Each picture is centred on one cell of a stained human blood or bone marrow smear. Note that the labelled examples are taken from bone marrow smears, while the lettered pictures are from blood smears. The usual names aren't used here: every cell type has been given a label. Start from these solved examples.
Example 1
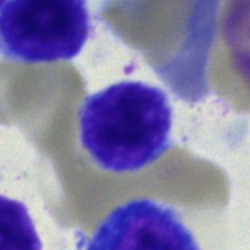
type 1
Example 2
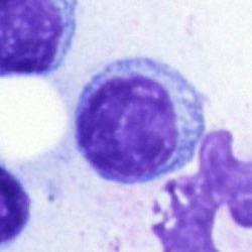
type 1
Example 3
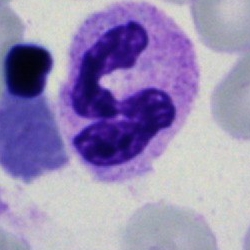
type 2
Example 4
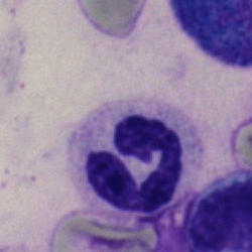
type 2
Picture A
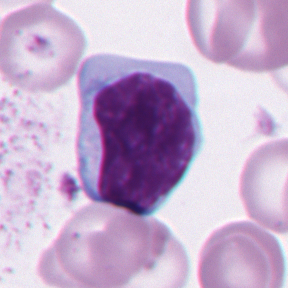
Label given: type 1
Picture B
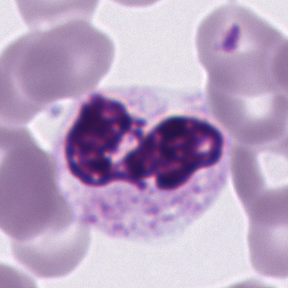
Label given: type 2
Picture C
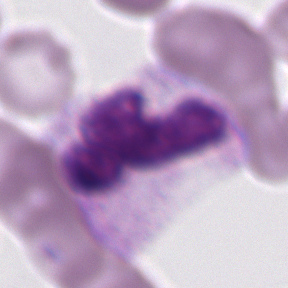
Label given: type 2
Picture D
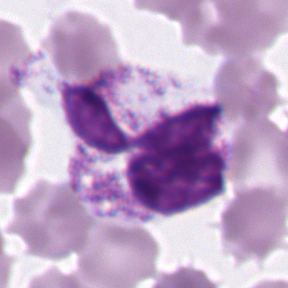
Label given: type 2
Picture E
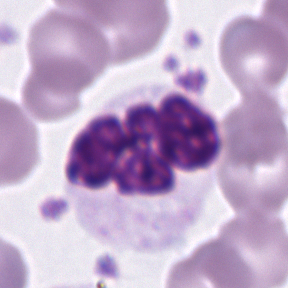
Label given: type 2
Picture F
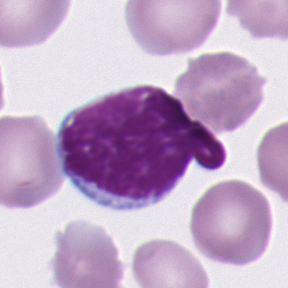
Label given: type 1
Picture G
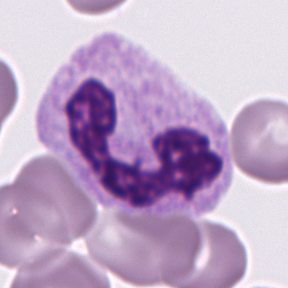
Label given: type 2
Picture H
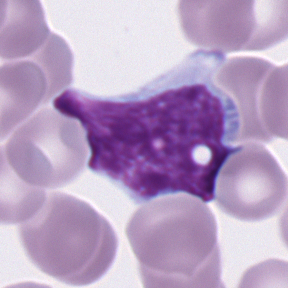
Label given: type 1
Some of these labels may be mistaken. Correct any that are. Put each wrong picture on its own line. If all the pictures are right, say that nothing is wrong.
No label is wrong.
